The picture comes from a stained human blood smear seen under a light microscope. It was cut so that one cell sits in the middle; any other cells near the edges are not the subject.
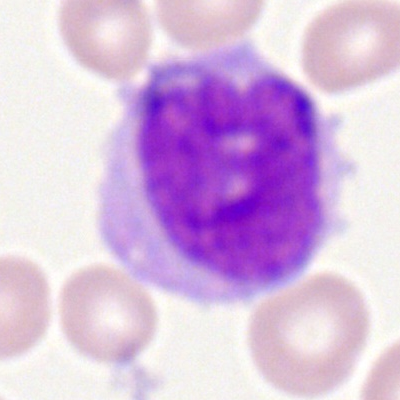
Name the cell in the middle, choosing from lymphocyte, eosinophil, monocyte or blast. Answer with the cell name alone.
monocyte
